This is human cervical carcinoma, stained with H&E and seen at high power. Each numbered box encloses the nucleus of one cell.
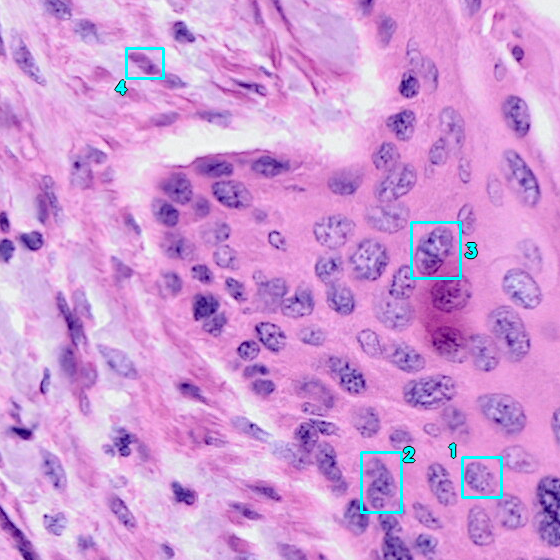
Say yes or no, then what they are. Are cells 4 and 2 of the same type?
No, the cell marked 4 is a fibroblast, and the cell marked 2 is a squamous carcinoma cell.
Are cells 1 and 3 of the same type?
Yes, in terms of cell type, cells 1 and 3 are both squamous carcinoma cells.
